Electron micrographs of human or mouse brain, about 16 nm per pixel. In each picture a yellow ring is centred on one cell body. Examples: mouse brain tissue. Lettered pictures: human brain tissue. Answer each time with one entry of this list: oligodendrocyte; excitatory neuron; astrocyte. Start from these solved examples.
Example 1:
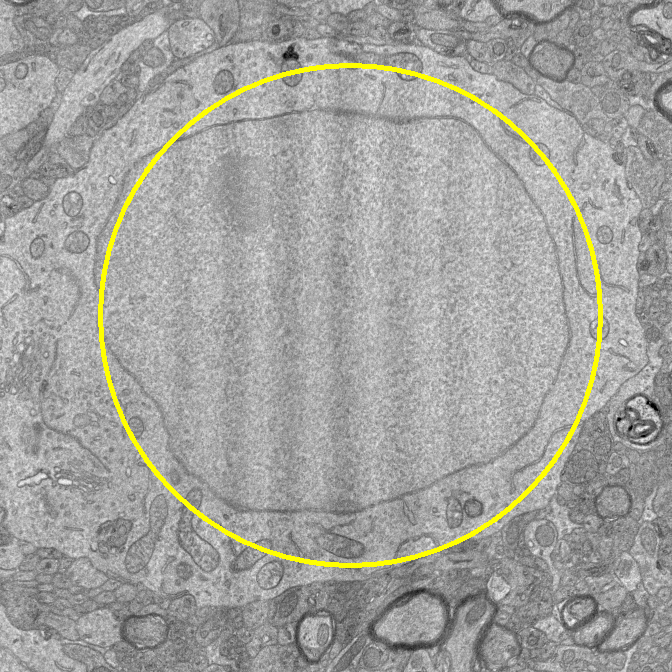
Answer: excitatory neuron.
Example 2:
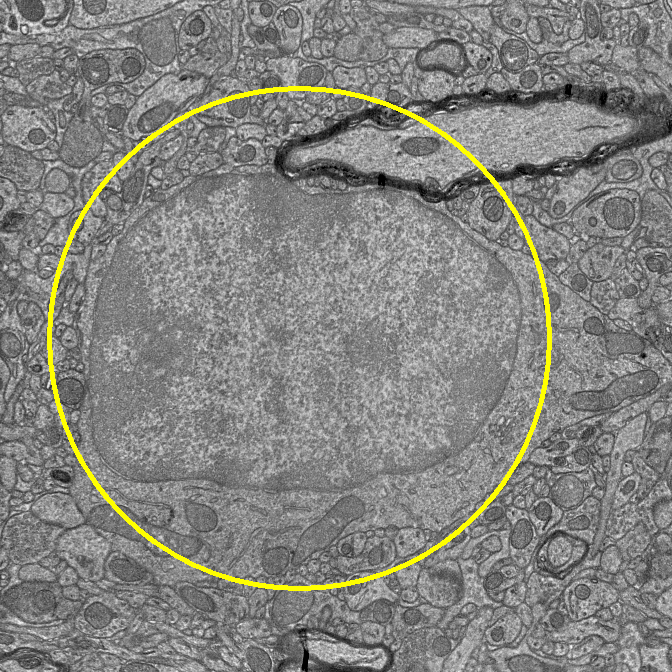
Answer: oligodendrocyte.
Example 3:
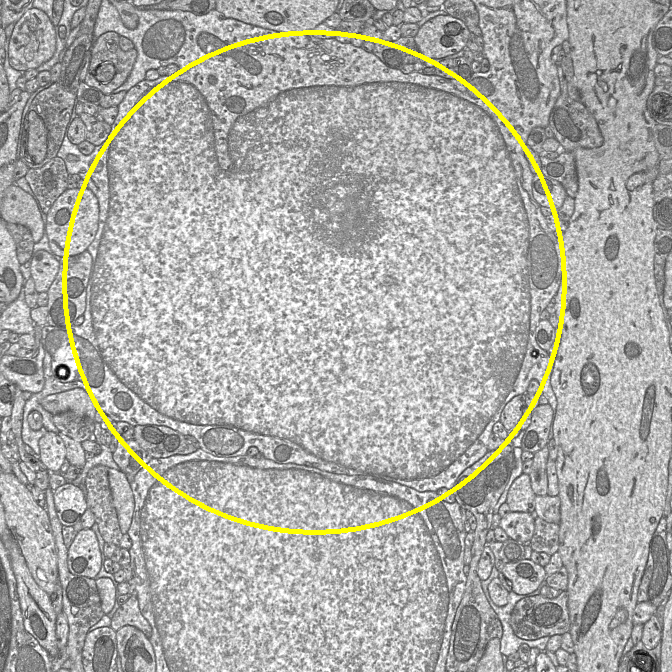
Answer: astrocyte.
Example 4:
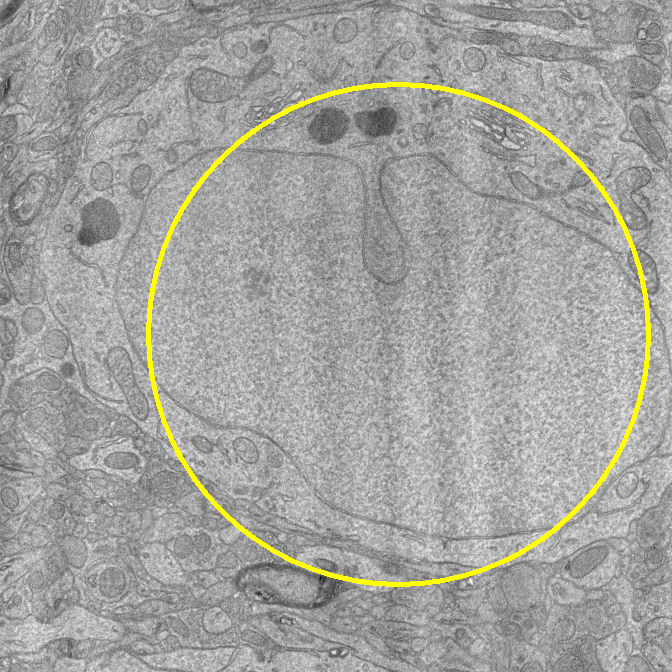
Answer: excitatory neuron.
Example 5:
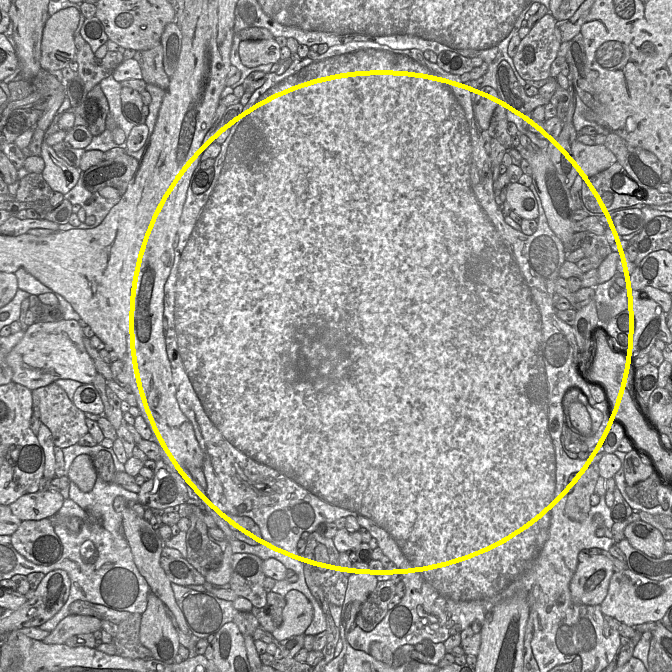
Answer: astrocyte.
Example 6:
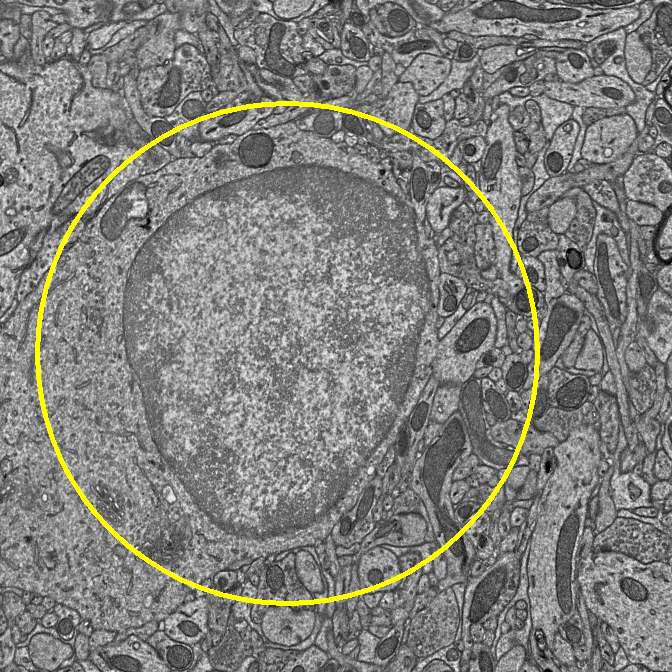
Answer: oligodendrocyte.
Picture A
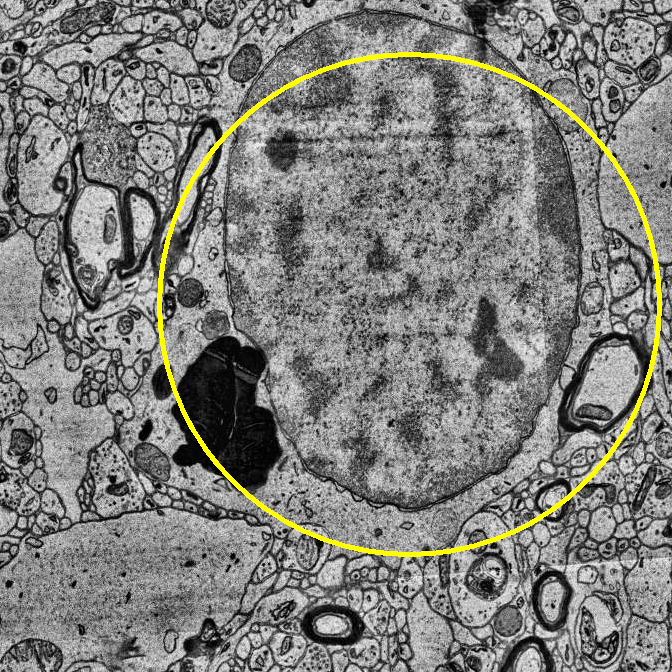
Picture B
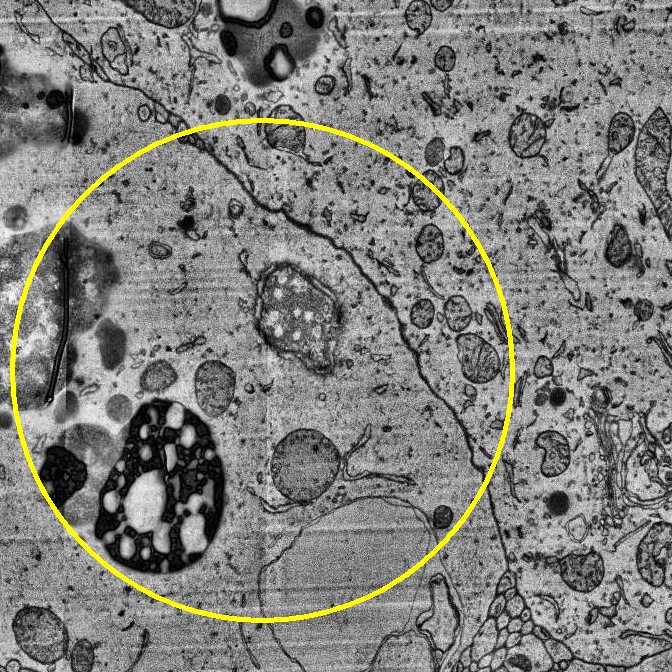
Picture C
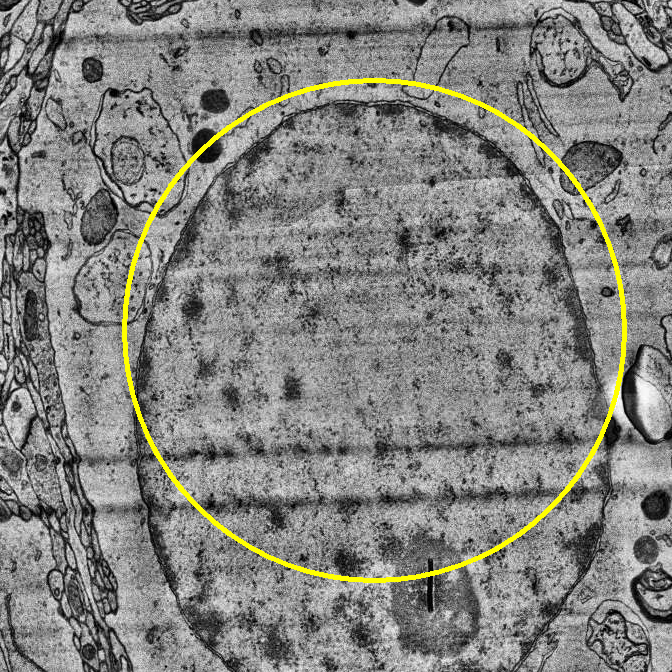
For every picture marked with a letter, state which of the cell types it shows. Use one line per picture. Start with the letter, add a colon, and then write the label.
A: oligodendrocyte.
B: astrocyte.
C: astrocyte.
